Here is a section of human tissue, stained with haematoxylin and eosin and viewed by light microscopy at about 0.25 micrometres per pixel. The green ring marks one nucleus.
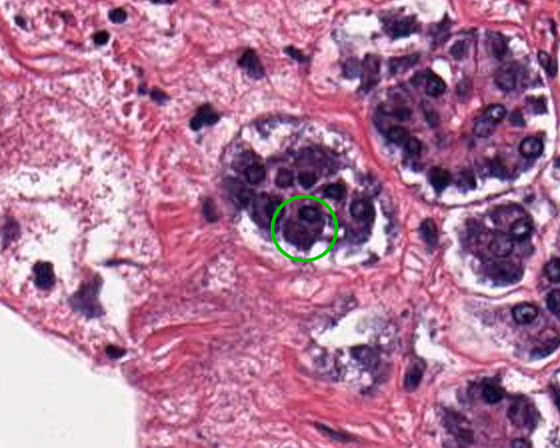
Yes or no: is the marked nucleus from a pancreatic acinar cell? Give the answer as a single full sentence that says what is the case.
Yes, the marked nucleus, as shown, belongs to a pancreatic acinar cell.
